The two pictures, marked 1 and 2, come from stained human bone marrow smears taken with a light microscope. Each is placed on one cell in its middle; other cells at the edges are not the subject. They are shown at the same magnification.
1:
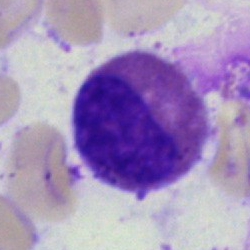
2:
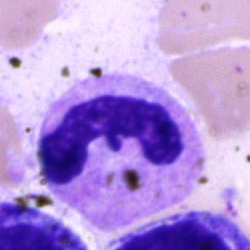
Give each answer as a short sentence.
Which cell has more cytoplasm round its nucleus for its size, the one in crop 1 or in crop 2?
In crop 2 the nucleus takes up the smaller part of its cell.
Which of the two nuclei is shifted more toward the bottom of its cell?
Seen within its cell, the nucleus in crop 1 lies further toward the bottom.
